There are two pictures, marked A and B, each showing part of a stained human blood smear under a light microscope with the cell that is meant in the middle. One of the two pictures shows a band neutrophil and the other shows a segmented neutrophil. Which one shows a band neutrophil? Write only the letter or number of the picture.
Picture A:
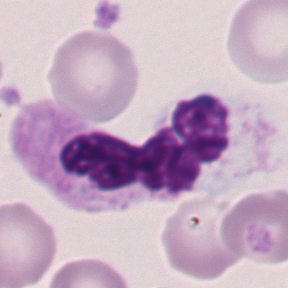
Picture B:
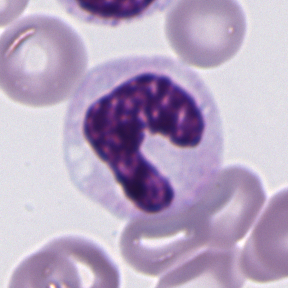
B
